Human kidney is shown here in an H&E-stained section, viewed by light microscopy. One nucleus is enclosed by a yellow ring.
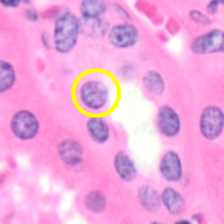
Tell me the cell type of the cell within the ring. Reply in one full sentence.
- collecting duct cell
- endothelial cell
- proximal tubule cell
Within this tissue, the cell within the ring is a collecting duct cell.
